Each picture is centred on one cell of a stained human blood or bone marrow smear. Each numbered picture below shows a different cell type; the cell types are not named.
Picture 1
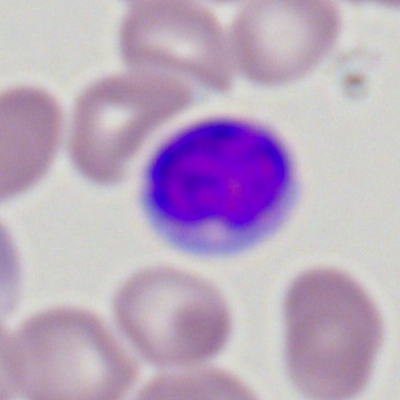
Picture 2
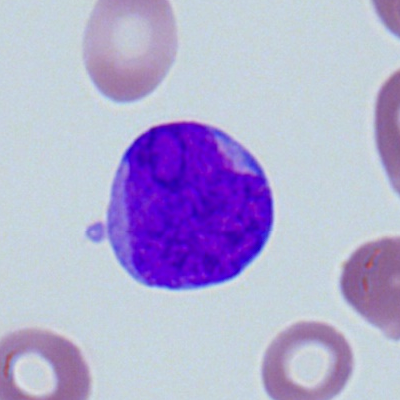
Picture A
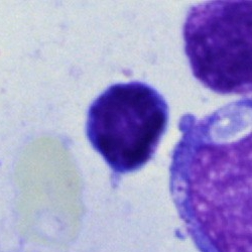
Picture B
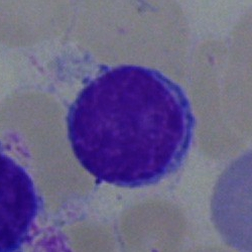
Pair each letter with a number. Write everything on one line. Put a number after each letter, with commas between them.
A 1, B 1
